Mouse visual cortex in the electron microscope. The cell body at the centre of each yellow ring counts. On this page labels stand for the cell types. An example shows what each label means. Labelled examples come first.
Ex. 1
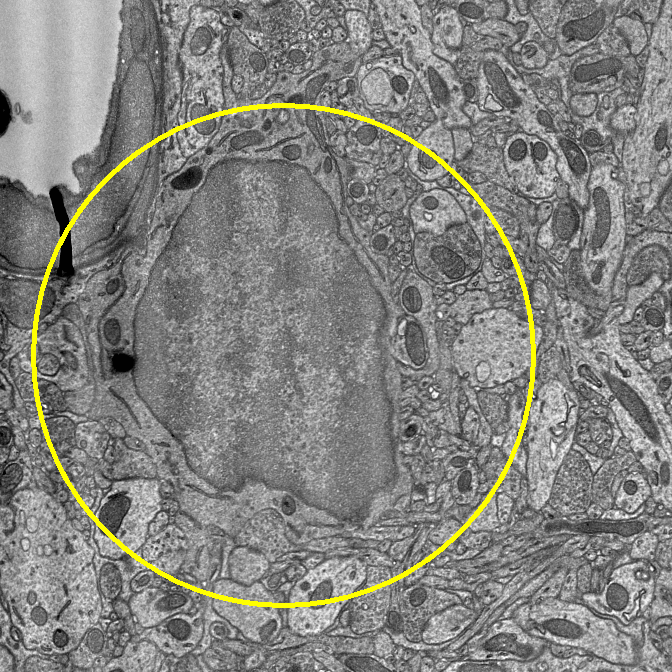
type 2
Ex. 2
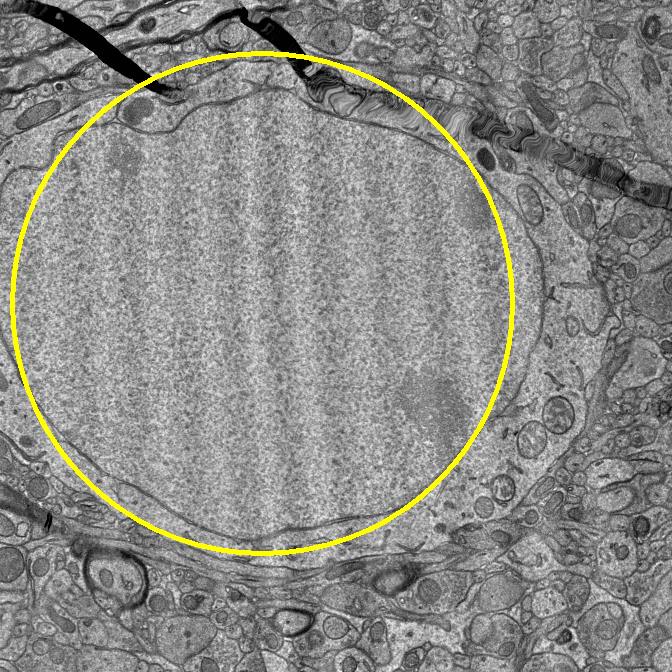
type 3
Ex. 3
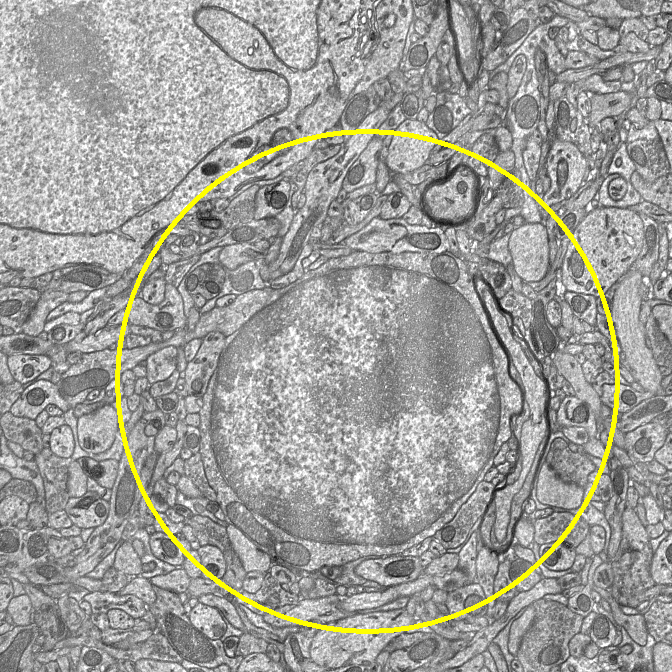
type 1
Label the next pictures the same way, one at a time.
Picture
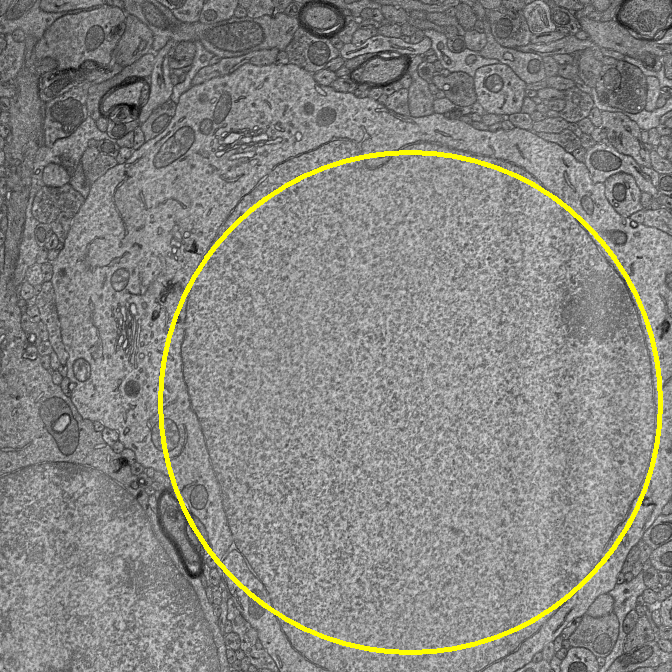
type 3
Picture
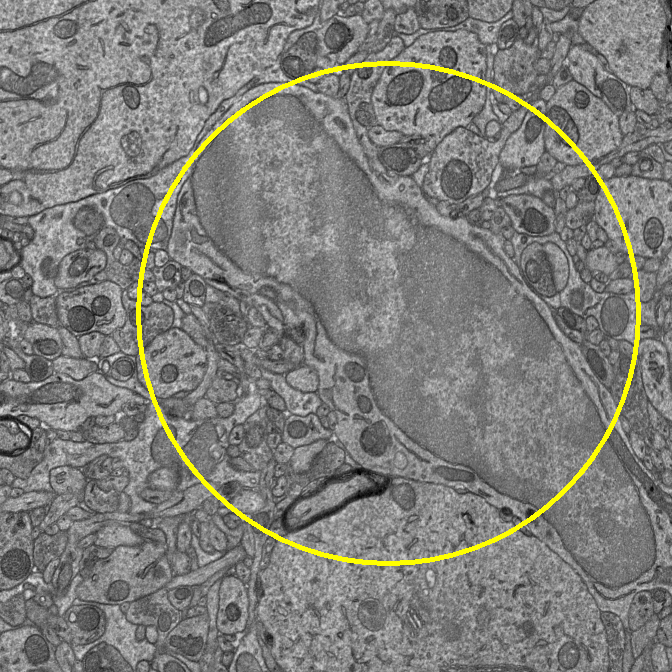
type 2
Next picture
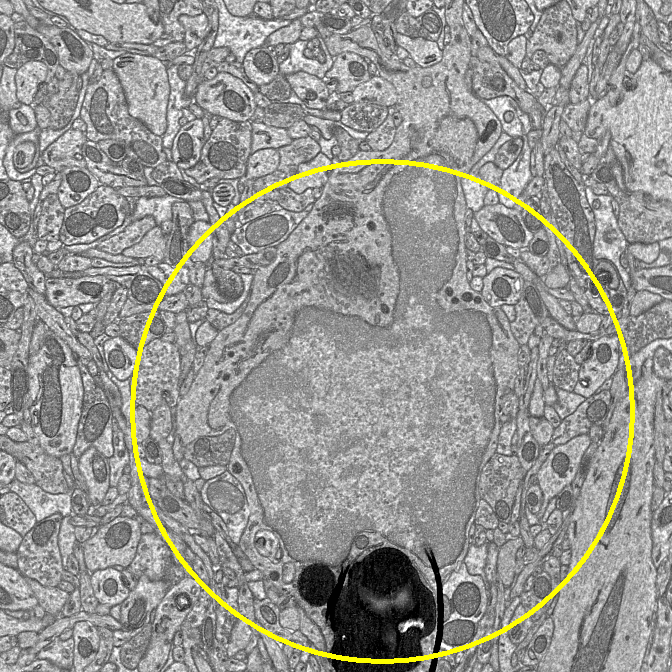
type 2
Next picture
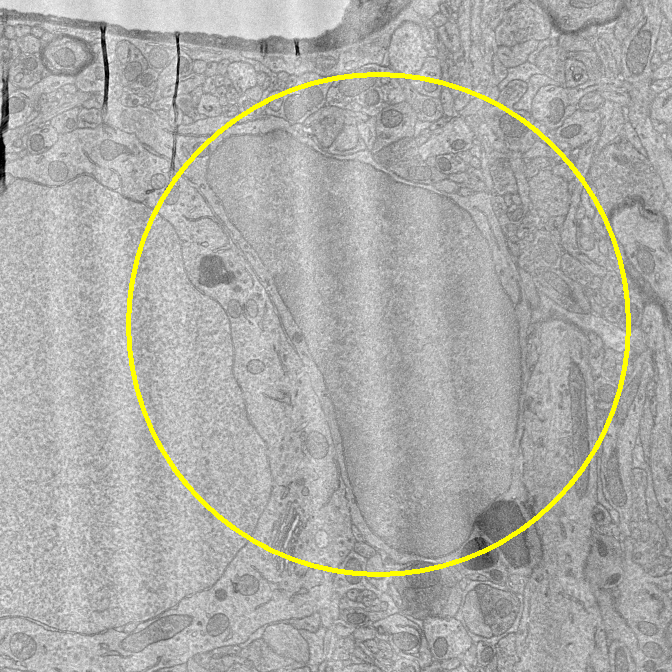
type 2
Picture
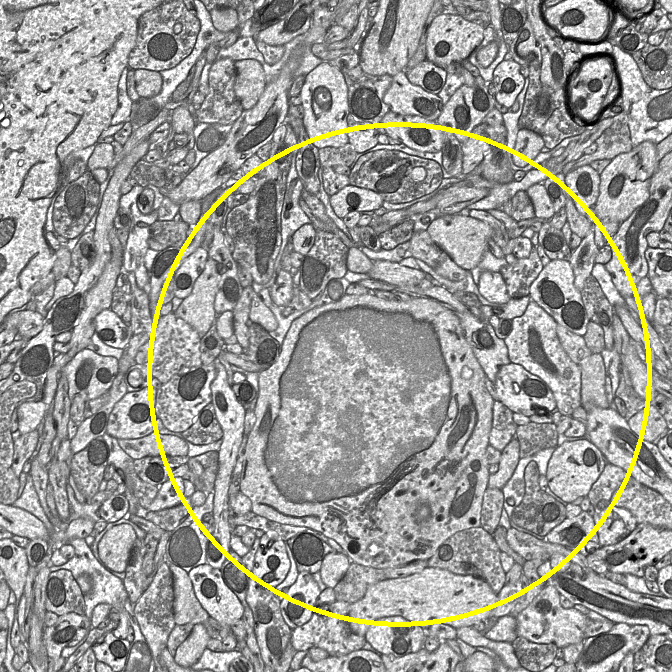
type 2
